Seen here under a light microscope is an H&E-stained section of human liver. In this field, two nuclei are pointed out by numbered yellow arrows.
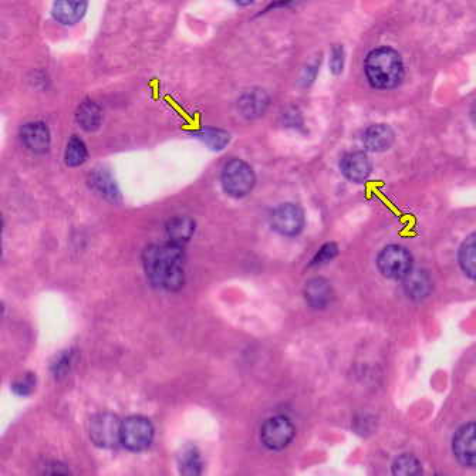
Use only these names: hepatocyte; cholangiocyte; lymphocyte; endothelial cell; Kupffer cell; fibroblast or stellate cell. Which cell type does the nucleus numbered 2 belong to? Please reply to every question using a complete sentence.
Looking at the numbered marks, cell 2 is a hepatocyte.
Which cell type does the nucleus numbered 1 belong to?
Cell 1, among those numbered, is an endothelial cell.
